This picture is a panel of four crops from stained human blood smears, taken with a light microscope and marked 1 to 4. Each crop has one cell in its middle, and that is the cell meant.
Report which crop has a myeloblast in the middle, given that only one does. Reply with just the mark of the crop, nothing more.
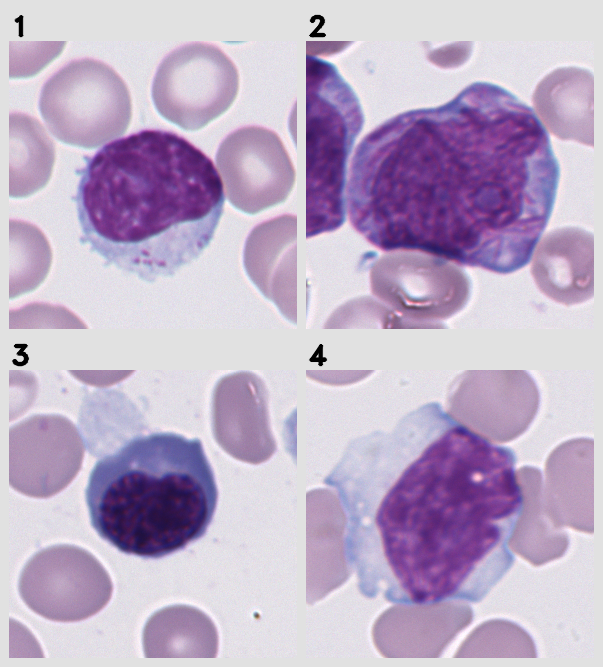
4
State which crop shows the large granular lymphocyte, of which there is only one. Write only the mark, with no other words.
1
